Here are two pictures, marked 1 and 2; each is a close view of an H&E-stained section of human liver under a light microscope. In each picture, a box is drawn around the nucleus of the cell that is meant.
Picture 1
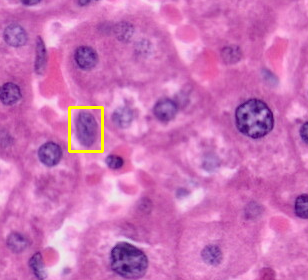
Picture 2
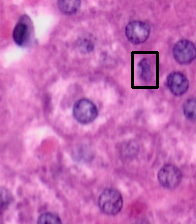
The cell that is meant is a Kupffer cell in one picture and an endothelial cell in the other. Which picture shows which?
1: Kupffer cell
2: endothelial cell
